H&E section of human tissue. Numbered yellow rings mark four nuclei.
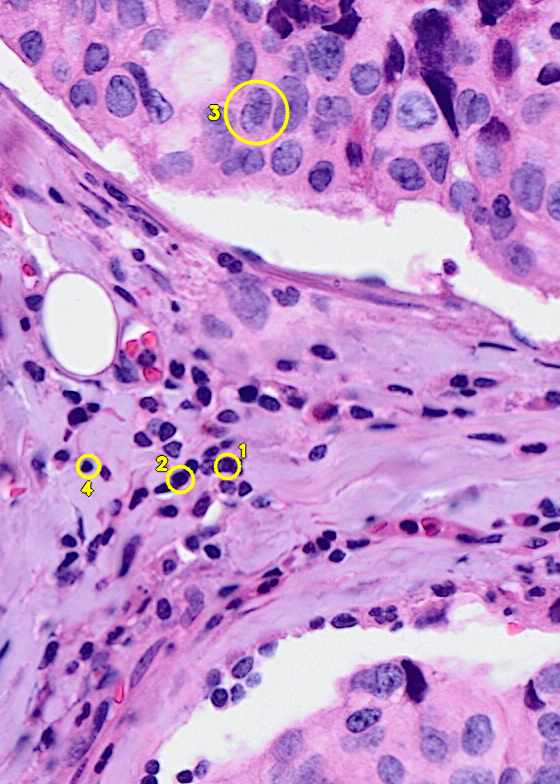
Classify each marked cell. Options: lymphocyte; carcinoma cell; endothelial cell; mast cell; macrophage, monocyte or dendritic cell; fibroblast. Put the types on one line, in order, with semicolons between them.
lymphocyte; lymphocyte; carcinoma cell; lymphocyte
